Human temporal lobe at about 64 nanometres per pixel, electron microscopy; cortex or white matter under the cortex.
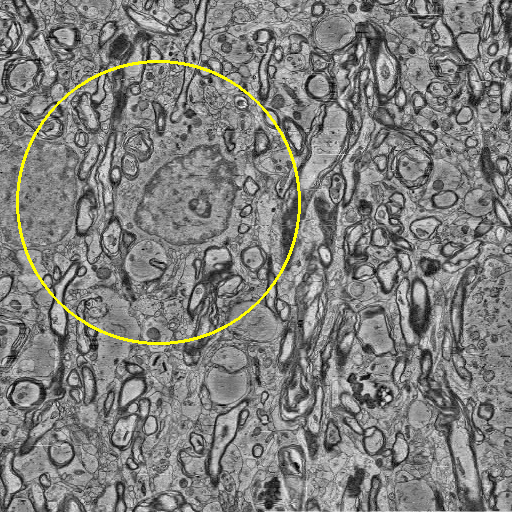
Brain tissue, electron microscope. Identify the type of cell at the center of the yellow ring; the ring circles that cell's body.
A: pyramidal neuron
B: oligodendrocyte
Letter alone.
B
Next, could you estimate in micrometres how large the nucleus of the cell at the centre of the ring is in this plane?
The nucleus measures about 7 by 6 micrometres in this plane.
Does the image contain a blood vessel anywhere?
No, no blood vessel shows in the picture.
